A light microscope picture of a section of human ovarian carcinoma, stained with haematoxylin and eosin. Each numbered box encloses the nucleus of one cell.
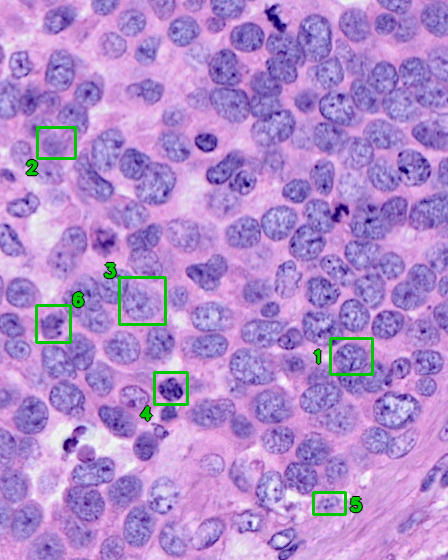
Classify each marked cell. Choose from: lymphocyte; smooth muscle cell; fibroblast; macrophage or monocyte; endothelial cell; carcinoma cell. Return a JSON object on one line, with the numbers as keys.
{"1": "carcinoma cell", "2": "carcinoma cell", "3": "carcinoma cell", "4": "lymphocyte", "5": "macrophage or monocyte", "6": "macrophage or monocyte"}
